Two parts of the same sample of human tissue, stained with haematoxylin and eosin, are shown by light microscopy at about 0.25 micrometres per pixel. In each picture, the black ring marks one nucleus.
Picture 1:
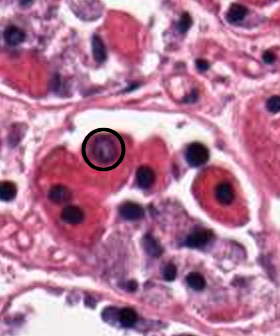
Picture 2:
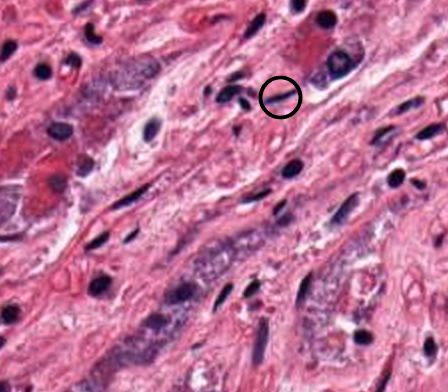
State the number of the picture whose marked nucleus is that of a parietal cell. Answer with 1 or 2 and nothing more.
1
